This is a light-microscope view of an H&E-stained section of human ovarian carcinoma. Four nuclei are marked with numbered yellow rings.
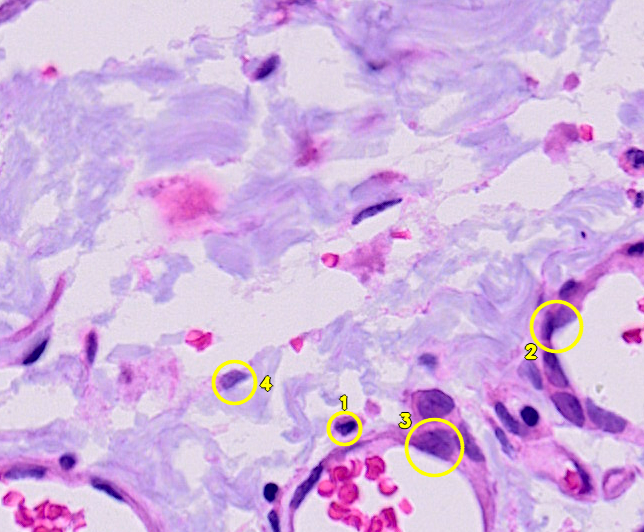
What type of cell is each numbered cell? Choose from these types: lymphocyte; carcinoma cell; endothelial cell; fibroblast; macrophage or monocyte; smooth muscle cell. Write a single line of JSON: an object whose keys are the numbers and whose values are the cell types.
{"1": "macrophage or monocyte", "2": "endothelial cell", "3": "endothelial cell", "4": "fibroblast"}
